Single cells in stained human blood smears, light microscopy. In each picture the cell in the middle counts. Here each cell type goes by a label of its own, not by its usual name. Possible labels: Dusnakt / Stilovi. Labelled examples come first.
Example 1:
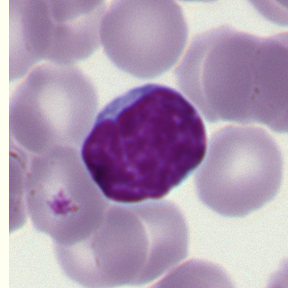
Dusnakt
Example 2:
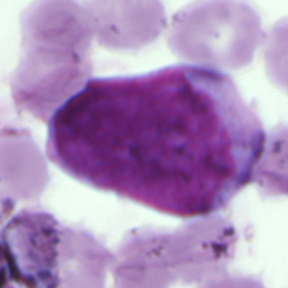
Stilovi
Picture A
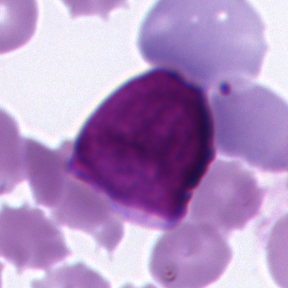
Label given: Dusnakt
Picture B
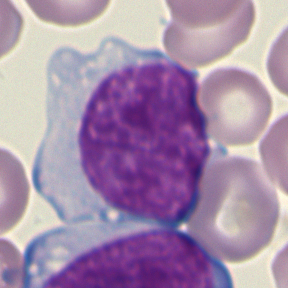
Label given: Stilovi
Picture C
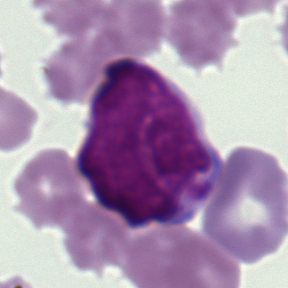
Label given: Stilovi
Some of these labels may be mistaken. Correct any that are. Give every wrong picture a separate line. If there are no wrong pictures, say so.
A should be Stilovi, not Dusnakt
